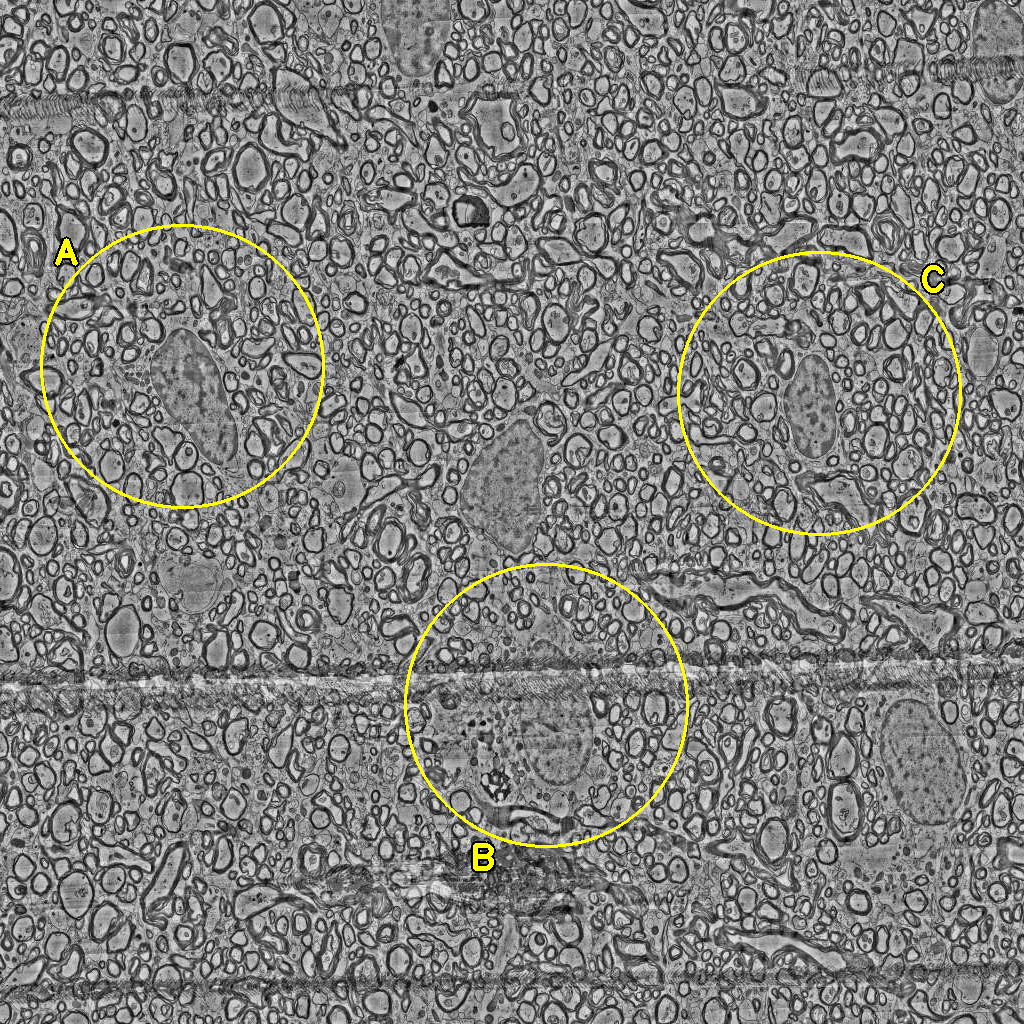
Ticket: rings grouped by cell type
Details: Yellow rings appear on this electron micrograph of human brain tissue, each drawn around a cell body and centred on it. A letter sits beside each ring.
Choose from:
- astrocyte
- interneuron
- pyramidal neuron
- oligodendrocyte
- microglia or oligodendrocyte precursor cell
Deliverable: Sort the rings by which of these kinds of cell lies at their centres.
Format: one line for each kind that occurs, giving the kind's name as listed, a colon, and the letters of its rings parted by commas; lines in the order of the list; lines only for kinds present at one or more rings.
astrocyte: B
microglia or oligodendrocyte precursor cell: A, C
